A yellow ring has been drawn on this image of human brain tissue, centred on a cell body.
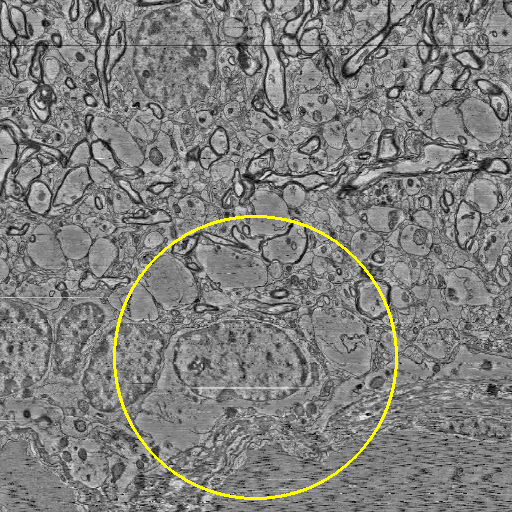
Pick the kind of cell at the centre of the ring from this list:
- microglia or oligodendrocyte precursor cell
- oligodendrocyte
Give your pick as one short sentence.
The centre of the ring holds a microglial cell or oligodendrocyte precursor cell.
